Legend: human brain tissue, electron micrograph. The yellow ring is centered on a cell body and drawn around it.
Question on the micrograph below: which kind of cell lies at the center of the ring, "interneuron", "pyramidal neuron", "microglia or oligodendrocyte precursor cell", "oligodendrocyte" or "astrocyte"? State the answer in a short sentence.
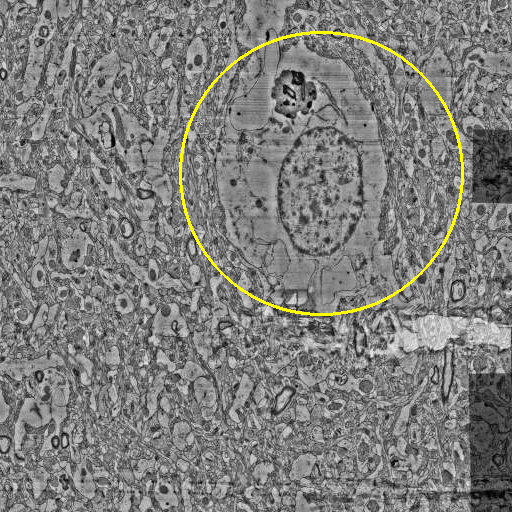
At the center of the ring lies an astrocyte.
